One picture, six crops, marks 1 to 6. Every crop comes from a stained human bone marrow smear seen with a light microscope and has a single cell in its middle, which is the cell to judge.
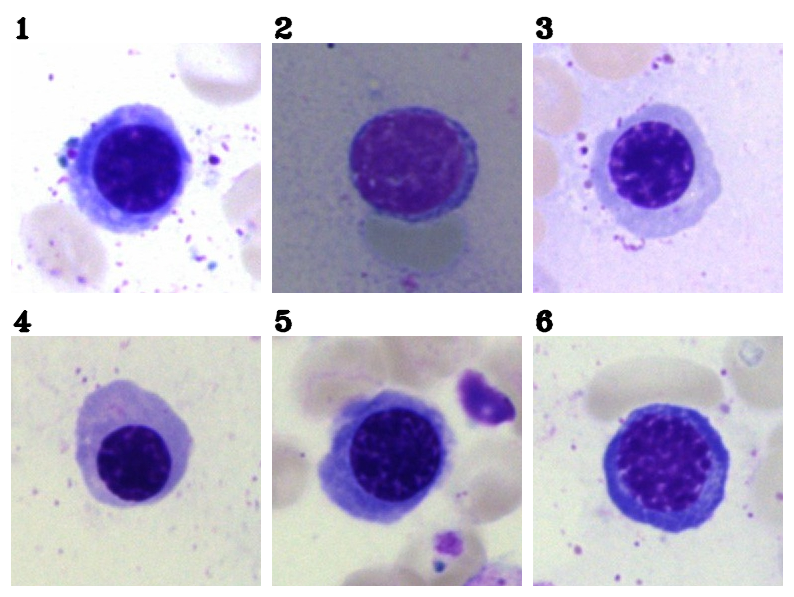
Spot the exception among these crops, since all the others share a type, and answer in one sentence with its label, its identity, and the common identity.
All the crops show normoblasts, barring crop 2, which is a lymphocyte.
